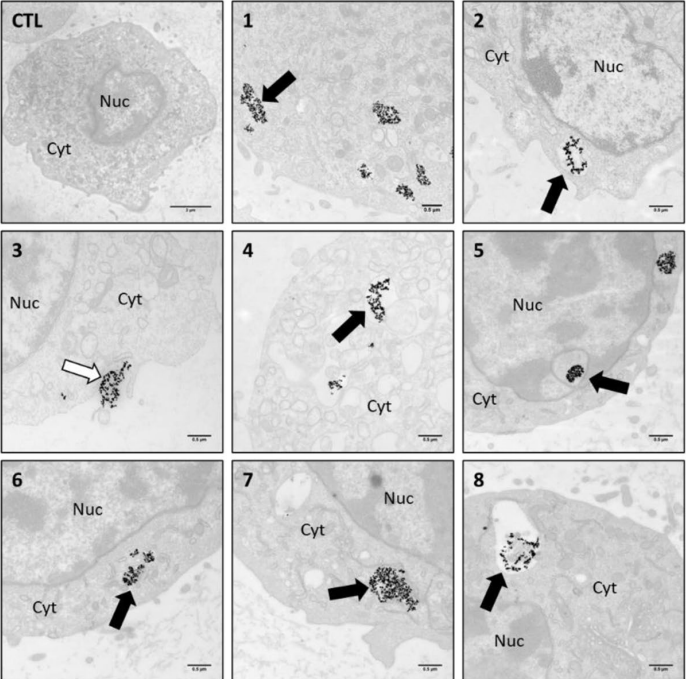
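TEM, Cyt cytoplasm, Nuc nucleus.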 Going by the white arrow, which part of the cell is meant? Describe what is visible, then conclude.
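Membrane ruffles. Folds of the cell surface wrap around a small black aggregate at the cell edge. The aggregate lies at the cell border rather than deep in the cytoplasm.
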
